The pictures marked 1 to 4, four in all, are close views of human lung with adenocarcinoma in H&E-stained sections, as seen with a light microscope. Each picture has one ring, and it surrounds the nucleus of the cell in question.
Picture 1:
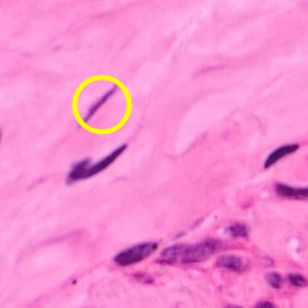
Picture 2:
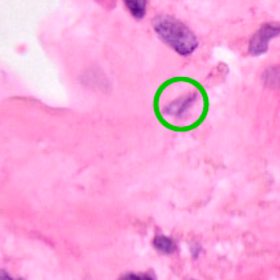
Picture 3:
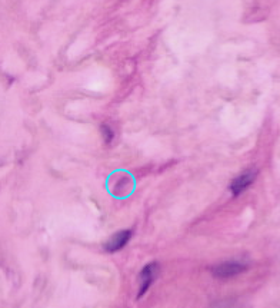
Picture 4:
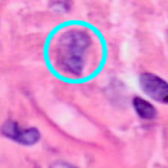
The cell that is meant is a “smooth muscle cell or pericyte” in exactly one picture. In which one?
3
